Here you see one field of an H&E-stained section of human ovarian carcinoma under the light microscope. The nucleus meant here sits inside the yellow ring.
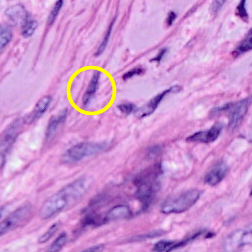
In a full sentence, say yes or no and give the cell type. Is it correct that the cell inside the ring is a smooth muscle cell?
No, it is not a smooth muscle cell but a fibroblast that the cell inside the ring represents.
